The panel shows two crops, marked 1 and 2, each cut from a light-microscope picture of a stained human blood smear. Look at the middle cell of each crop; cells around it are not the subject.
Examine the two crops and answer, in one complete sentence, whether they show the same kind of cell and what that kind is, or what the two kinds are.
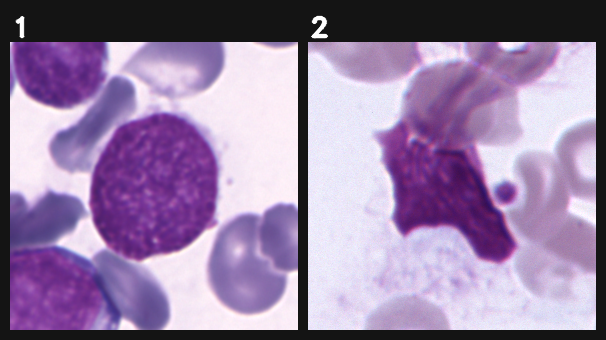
No, cell 1 is a myeloblast, and cell 2 is a smudge cell.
